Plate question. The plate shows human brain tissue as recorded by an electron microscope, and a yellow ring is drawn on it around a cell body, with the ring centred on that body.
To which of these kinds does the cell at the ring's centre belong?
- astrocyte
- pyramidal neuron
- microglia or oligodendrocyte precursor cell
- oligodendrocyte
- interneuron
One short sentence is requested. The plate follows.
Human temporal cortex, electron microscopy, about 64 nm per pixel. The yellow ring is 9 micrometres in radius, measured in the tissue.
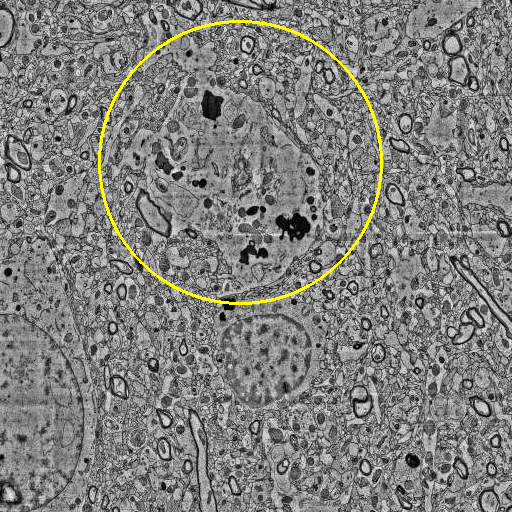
The cell at the ring's centre is an astrocyte.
